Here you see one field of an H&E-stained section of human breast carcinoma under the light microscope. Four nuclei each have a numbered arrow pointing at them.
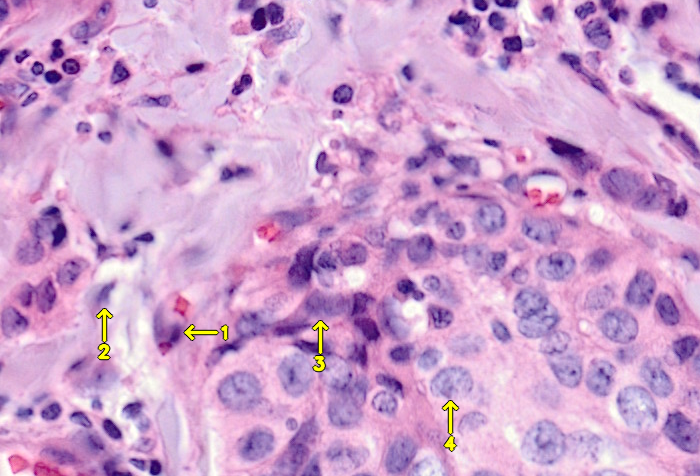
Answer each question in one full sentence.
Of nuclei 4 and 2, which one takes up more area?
At about 3 times the area of nucleus 2, nucleus 4 is the larger of the two.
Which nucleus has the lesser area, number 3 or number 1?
Number 1 is smaller, since number 3 takes up about 1.5 times as much area.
